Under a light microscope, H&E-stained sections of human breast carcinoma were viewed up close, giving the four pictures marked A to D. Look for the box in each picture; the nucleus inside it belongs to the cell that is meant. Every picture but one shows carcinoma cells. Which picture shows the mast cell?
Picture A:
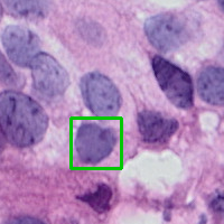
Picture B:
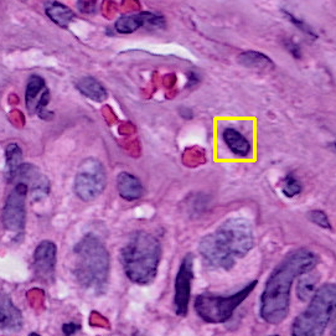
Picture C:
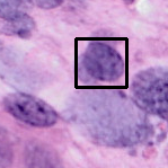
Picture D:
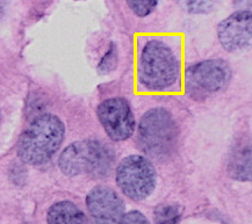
B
